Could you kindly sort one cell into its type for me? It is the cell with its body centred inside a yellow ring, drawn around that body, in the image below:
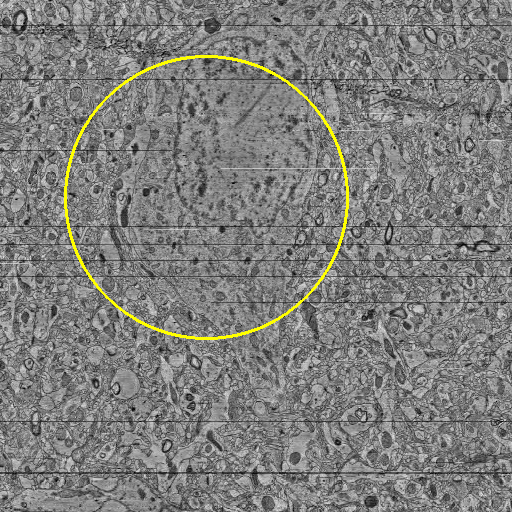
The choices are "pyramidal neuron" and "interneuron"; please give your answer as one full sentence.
The cell whose body lies centred in the yellow ring here is an interneuron.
